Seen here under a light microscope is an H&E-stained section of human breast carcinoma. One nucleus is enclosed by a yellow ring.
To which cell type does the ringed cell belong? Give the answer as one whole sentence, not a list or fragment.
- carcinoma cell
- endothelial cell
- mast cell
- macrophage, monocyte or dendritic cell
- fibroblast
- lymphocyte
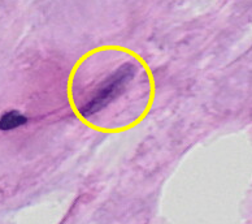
Speaking plainly, the ringed cell is nothing other than a fibroblast.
